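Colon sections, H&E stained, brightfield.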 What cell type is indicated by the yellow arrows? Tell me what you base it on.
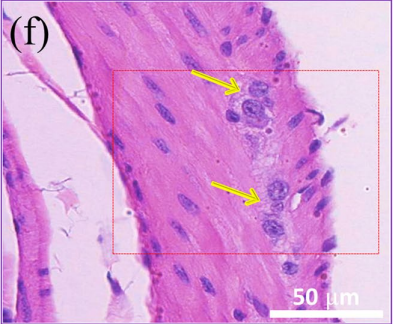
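Ganglion cells. Large cells with round nuclei and central nucleoli. Pale cytoplasm surrounded by smaller elongated nuclei. Set within pink smooth muscle.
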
